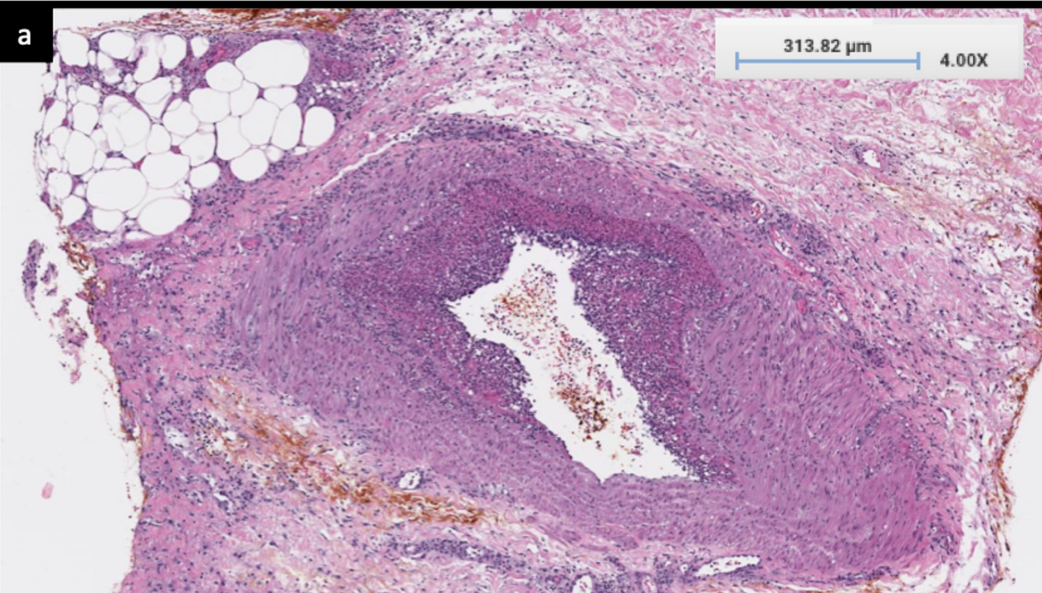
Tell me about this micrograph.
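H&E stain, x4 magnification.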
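This is a cross-section of a small to medium-sized artery whose wall is destroyed by inflammation. The lumen sits in the center and holds scattered red cells. Around it lies a dense dark purple band crowded with nuclei. Outside that is a thickened, pink, spindle-cell layer of the wall, and inflammatory cells also spread into the surrounding fibrous tissue. Fat cells appear as clear rounded spaces at the upper left. Brown pigment and extravasated blood are scattered in the connective tissue nearby.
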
